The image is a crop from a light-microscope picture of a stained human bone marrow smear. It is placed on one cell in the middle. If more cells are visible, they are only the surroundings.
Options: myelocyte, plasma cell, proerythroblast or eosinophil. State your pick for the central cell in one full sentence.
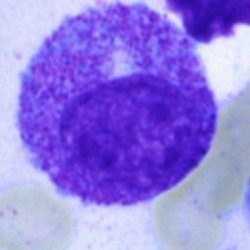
The centered cell in this crop is a myelocyte.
